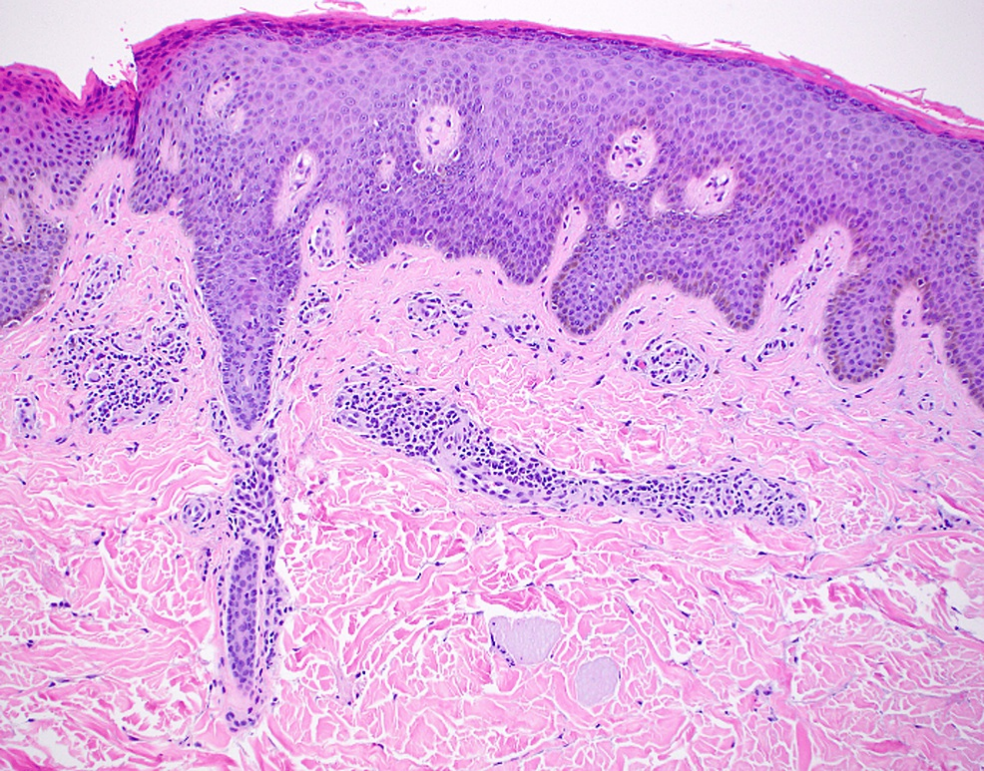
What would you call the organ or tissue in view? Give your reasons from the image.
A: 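Epidermis. A thick, purple, stratified epithelial layer lies across the top of the image. A thin, pink, compact cornified layer lies on its surface. Rete ridges project downward into the pink dermis.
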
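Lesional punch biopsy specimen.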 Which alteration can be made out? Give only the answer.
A: Perivascular lymphocytic infiltrate.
